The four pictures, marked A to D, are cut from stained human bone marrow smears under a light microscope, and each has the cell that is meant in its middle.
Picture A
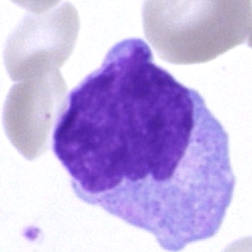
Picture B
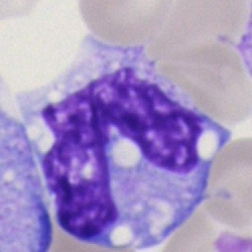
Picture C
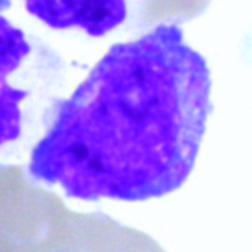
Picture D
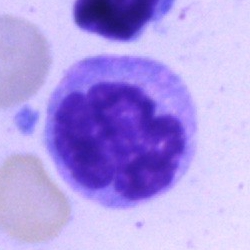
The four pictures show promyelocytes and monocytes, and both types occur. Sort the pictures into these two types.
A: monocyte
B: monocyte
C: promyelocyte
D: monocyte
